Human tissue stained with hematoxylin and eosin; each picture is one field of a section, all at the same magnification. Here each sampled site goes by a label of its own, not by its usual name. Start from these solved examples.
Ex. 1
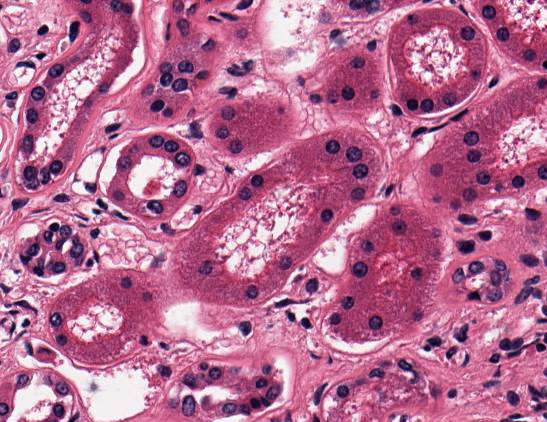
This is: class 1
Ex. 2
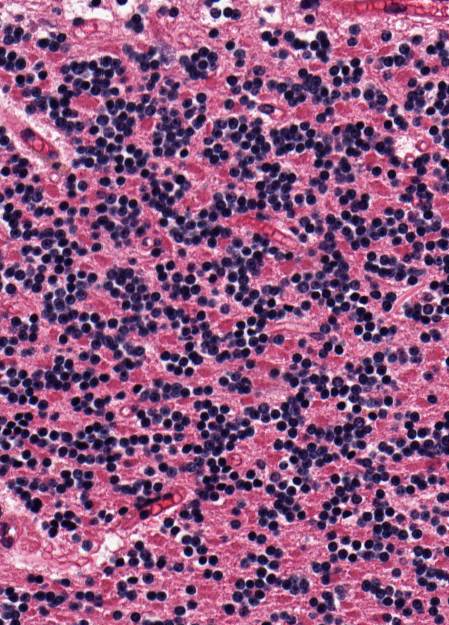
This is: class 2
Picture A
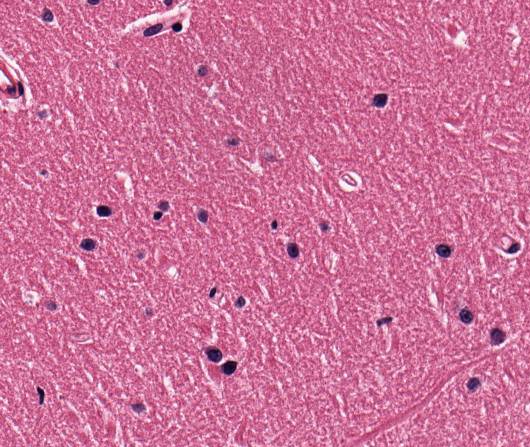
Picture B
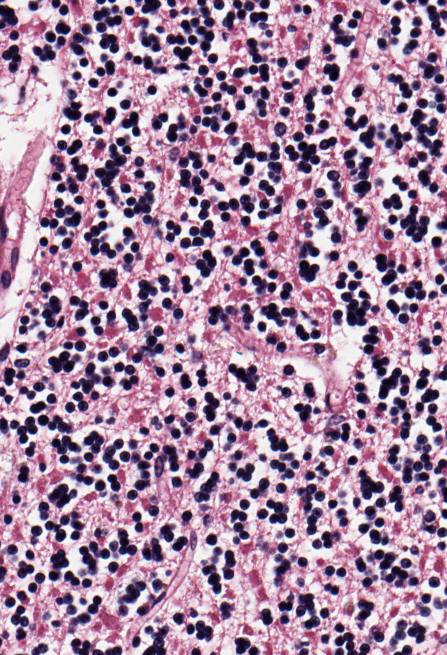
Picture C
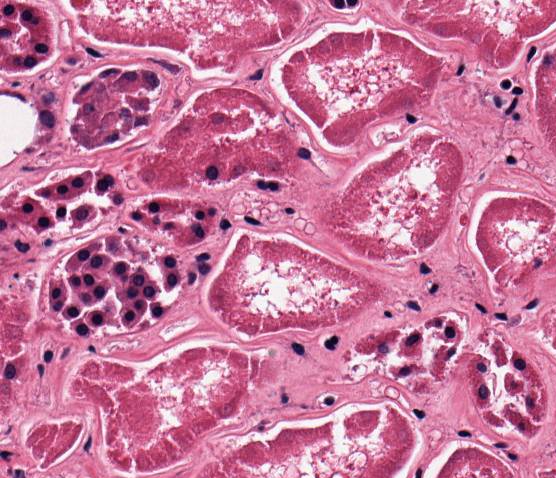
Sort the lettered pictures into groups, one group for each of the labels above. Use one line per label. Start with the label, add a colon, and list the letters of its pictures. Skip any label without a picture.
class 1: C
class 2: A, B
